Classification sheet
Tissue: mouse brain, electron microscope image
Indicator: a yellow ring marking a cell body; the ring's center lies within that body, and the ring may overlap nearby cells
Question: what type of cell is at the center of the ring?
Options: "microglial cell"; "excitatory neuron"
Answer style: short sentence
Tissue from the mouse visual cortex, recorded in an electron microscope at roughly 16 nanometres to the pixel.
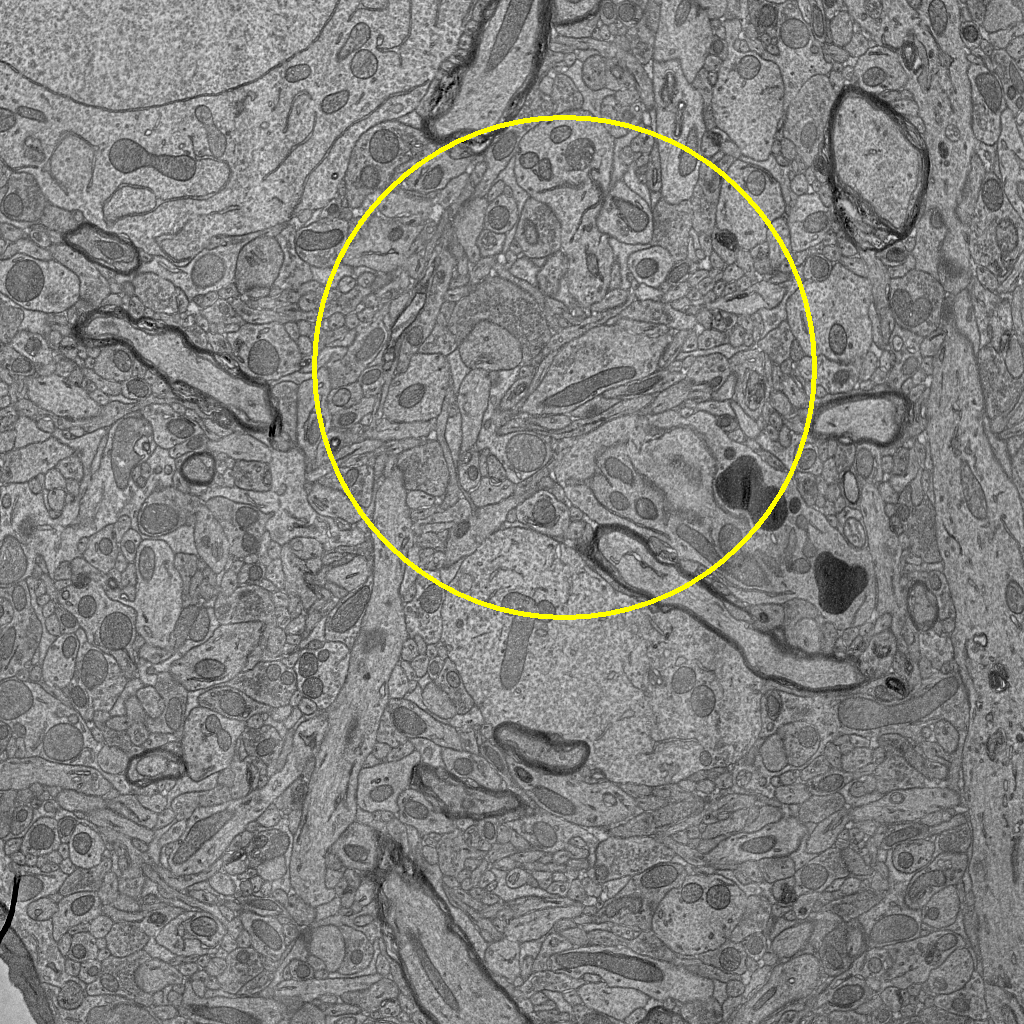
At the ring's center is a microglial cell.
